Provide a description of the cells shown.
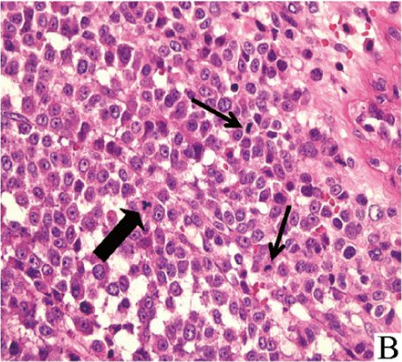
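This field shows sheets of epithelioid tumor cells that sit closely packed with little stroma between them. The cells are round to polygonal, with moderate pale pink cytoplasm and distinct cell borders. Their nuclei are large and round with open chromatin, and many of them hold a conspicuous nucleolus. Scattered among them are small, dense, dark chromatin clumps, and one of these is irregular in form. Clear empty spaces and a few red blood cells lie between the cells, and a strip of pink fibrous tissue runs along the upper right edge.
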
